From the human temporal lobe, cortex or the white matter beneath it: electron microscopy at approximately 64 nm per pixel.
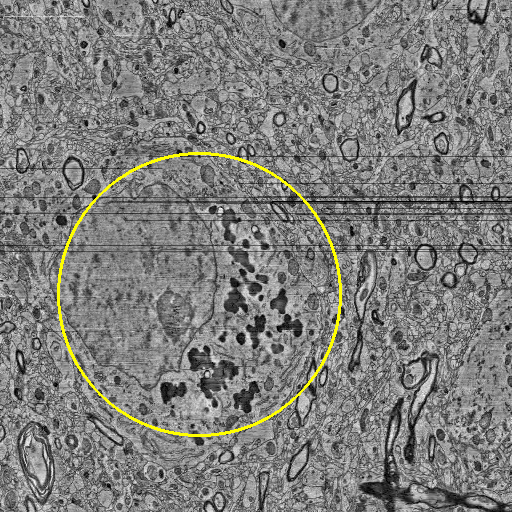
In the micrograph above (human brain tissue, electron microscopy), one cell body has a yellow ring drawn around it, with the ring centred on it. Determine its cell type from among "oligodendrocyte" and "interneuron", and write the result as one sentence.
The cell whose body is ringed is an interneuron.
